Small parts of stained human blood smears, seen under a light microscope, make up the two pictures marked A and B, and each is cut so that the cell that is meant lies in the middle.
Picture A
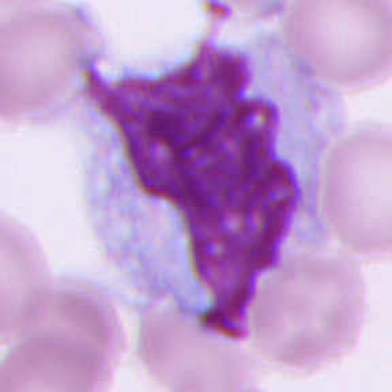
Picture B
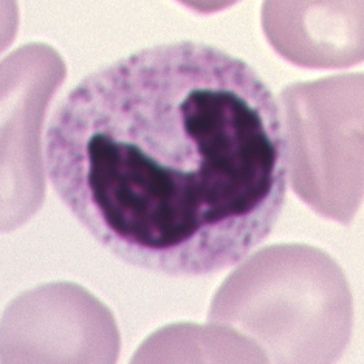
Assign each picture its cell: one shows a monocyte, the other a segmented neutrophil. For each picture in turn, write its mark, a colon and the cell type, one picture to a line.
A: monocyte
B: segmented neutrophil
